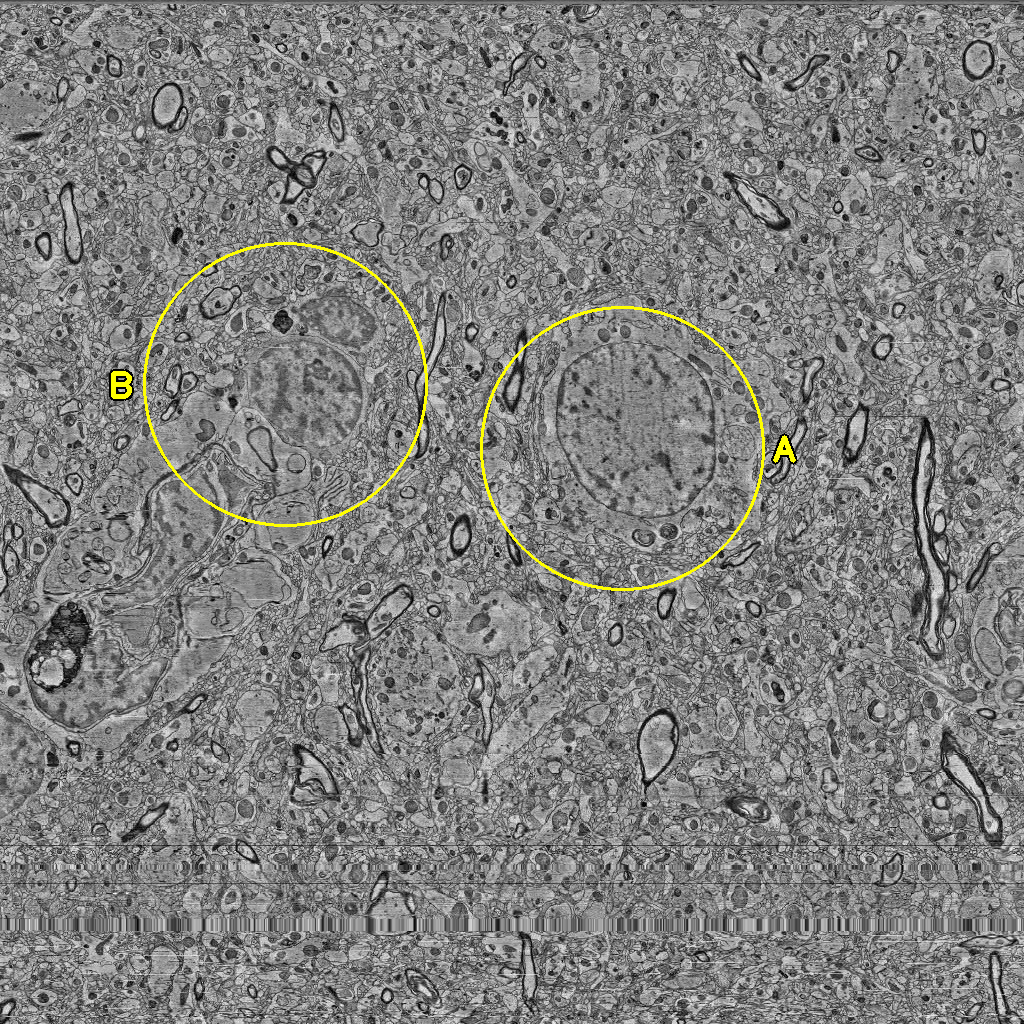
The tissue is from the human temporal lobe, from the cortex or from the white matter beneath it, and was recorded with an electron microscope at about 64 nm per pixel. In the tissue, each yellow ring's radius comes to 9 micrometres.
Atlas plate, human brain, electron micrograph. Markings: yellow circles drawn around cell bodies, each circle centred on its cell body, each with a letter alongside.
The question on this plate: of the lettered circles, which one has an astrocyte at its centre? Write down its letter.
A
